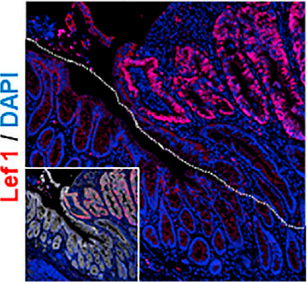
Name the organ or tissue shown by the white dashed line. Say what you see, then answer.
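A white dashed line runs diagonally across the tissue. Above the line the glands are irregular and crowded with strong red nuclear staining. Below the line regular crypts show little red.
Answer: Tumor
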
